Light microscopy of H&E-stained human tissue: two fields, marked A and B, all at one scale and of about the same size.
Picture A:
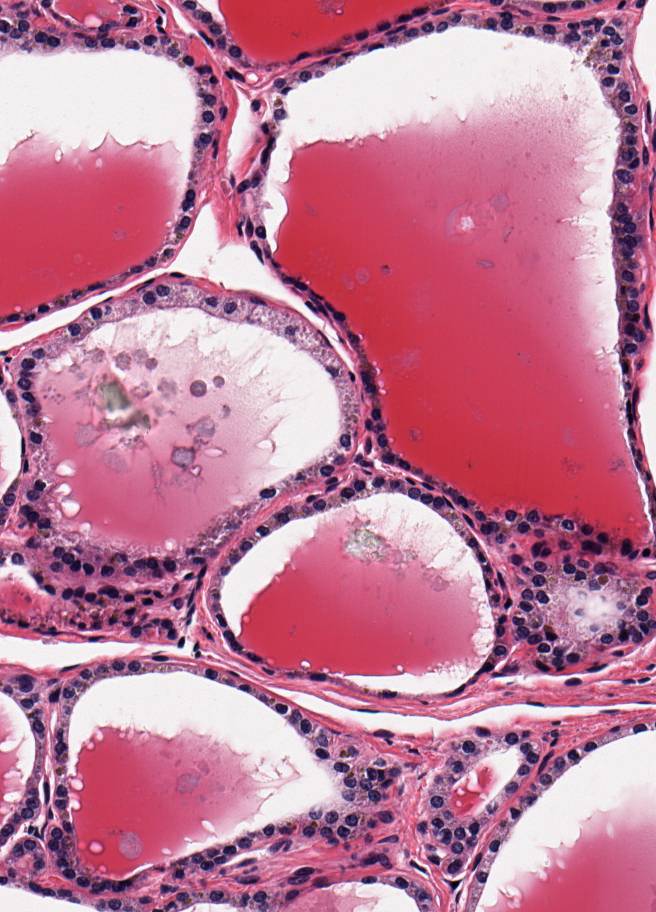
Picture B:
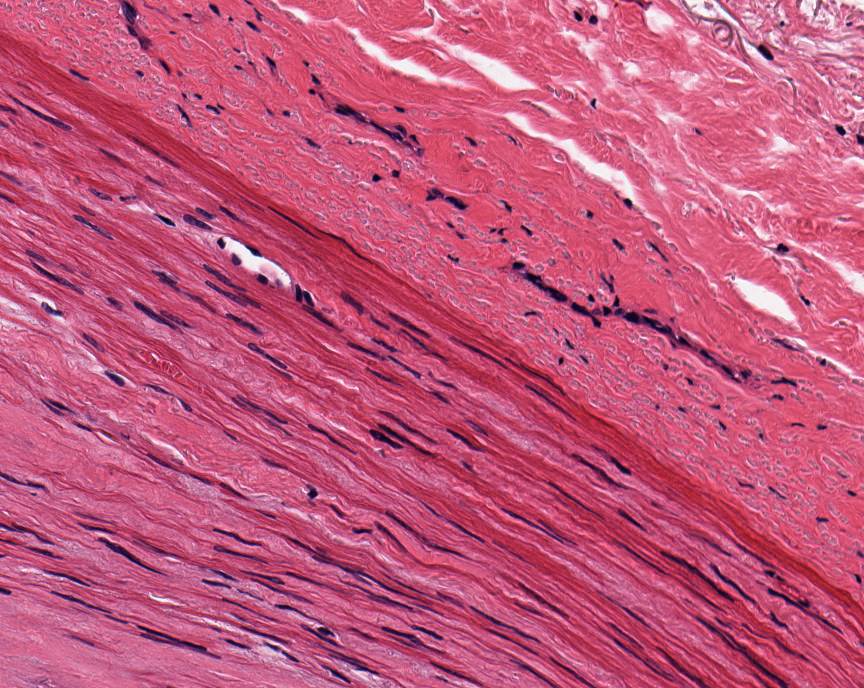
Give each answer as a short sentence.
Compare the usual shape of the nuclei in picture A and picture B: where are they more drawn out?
It is picture B whose nuclei are the more elongated.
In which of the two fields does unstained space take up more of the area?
It is picture A in which white space covers the larger part.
